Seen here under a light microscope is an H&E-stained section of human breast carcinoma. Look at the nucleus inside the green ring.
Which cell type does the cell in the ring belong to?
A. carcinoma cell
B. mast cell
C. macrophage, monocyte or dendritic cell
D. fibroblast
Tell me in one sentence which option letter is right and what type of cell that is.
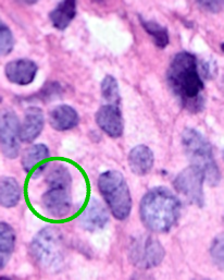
Option A is the one to take: the cell in the ring is a carcinoma cell.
